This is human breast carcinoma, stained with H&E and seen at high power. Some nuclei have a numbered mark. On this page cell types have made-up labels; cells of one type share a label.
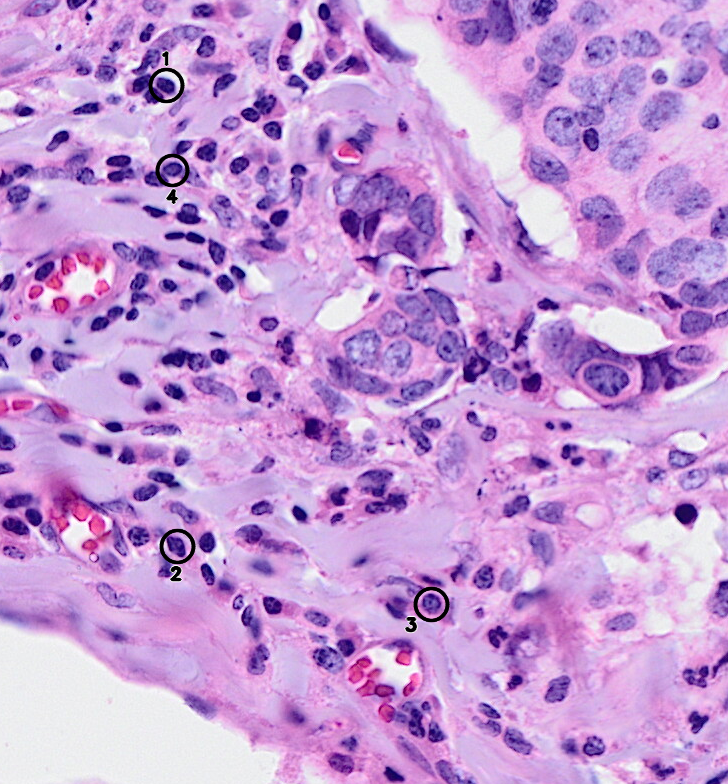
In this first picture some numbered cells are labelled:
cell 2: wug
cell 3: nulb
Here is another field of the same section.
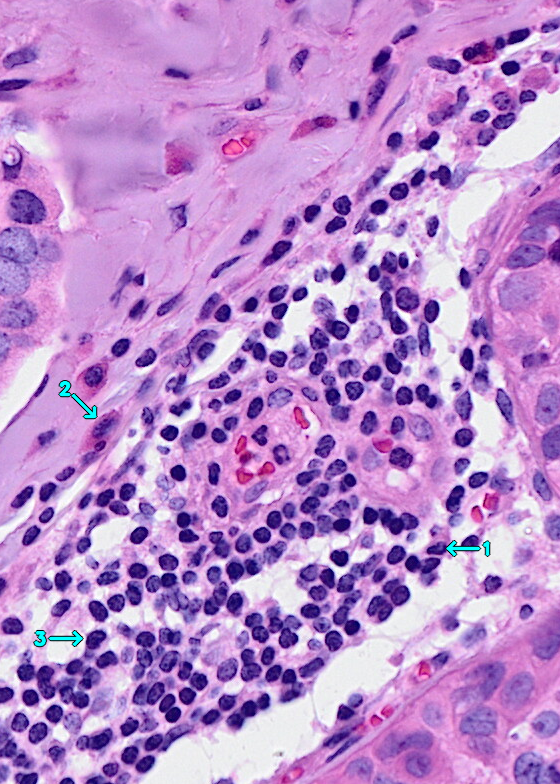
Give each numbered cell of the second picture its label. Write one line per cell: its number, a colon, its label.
1: wug
2: nulb
3: wug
